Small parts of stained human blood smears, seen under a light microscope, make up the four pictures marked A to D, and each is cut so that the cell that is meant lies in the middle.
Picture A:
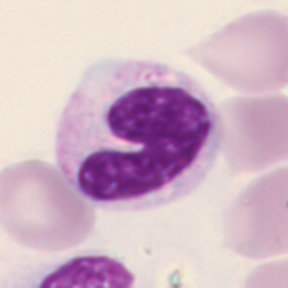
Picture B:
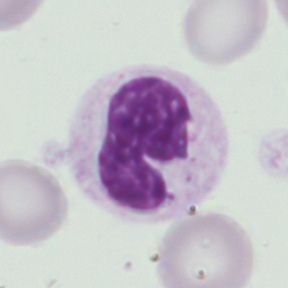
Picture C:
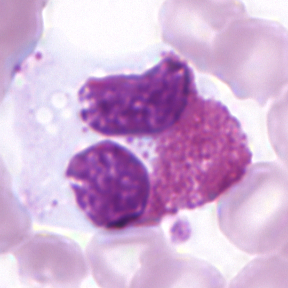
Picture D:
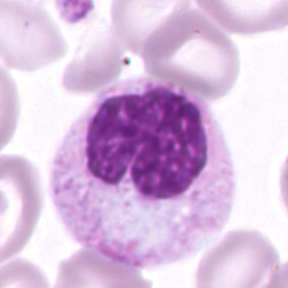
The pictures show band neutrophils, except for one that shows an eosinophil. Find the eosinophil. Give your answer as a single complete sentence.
Picture C is the one that shows the eosinophil.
